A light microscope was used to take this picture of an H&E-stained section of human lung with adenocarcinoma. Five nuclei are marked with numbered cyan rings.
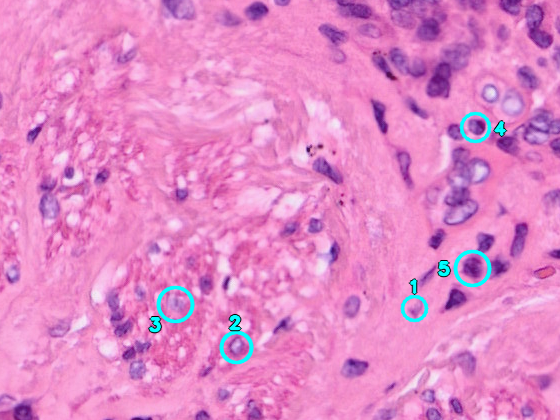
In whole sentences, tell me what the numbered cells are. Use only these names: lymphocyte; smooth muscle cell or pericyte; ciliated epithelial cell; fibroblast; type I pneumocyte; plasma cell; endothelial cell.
Cell 1 is a fibroblast. Cells 2 and 3 are smooth muscle cells or pericytes. Cell 4 is a lymphocyte. Cell 5 is a plasma cell.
